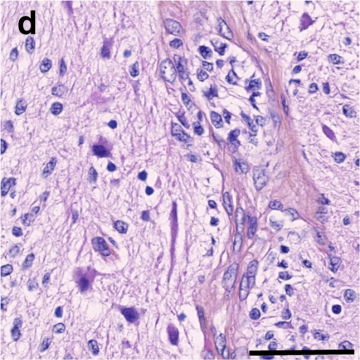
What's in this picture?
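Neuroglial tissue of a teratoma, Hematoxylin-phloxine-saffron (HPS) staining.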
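A pale fibrillary tissue holds scattered large cells with abundant purple cytoplasm and large nuclei, alongside smaller round cells with clear halos, while a pink fibrous band with crowded cells crosses the right side. The large cells are ganglion cells mixed with oligodendrocyte-like cells in a tissue of increased cellularity, as in a ganglioglioma.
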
